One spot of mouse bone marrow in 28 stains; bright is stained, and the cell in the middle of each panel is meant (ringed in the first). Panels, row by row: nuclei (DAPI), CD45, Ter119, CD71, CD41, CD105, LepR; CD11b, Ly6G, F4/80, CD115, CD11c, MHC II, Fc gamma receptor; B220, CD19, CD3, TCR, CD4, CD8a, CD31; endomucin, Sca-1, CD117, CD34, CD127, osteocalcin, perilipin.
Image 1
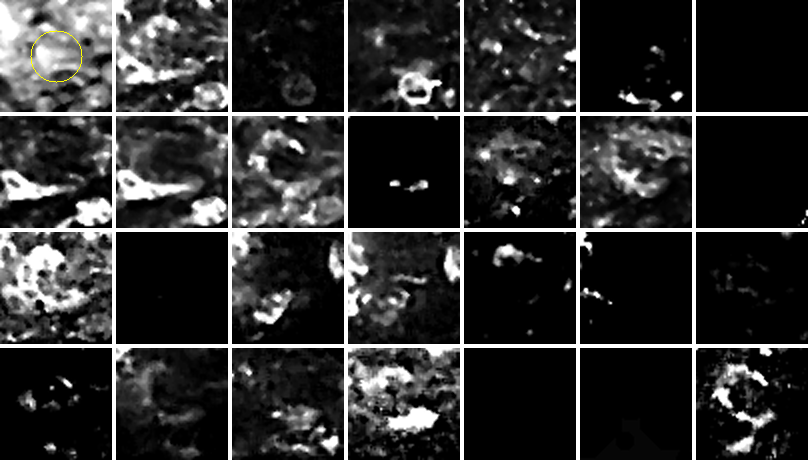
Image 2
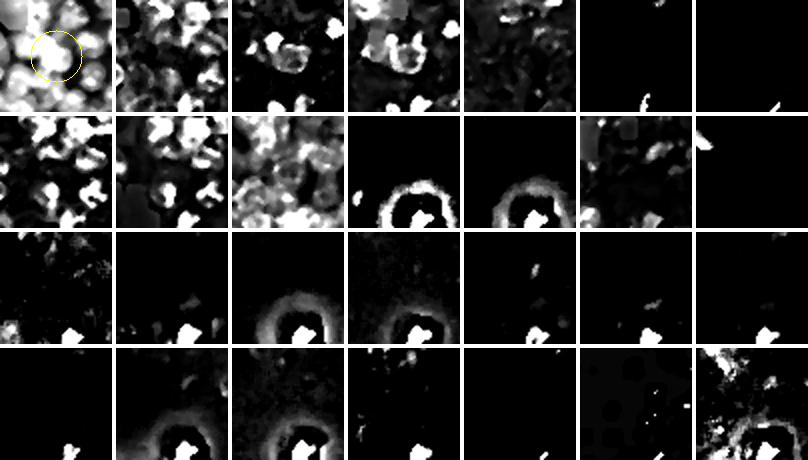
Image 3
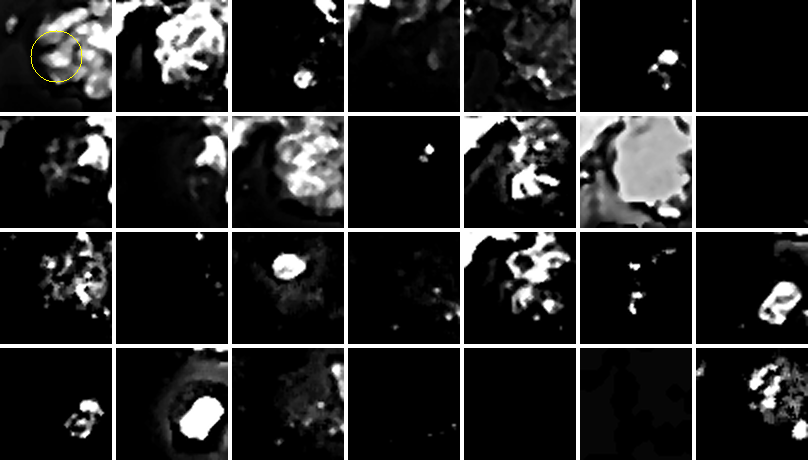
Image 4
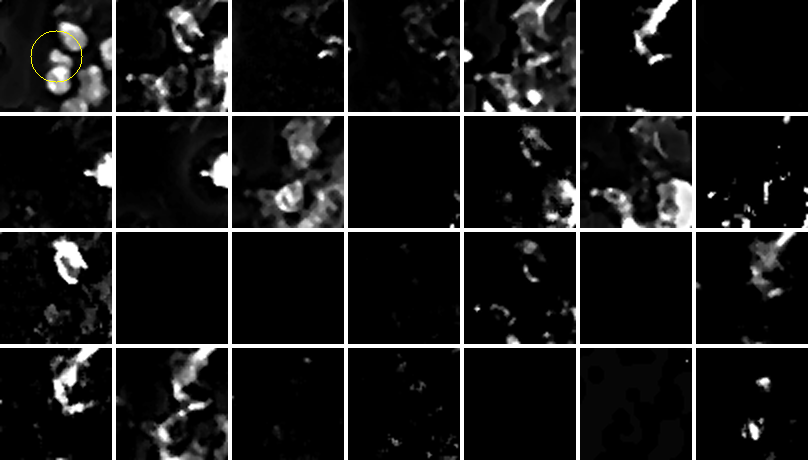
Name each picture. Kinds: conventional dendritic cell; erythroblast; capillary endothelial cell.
1: conventional dendritic cell
2: erythroblast
3: conventional dendritic cell
4: capillary endothelial cell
